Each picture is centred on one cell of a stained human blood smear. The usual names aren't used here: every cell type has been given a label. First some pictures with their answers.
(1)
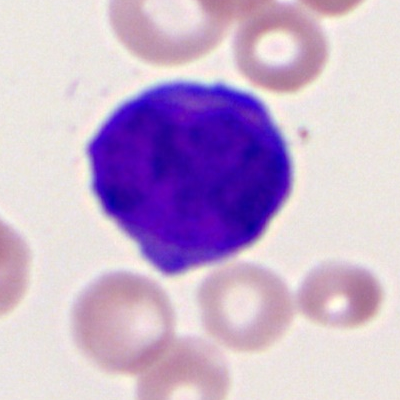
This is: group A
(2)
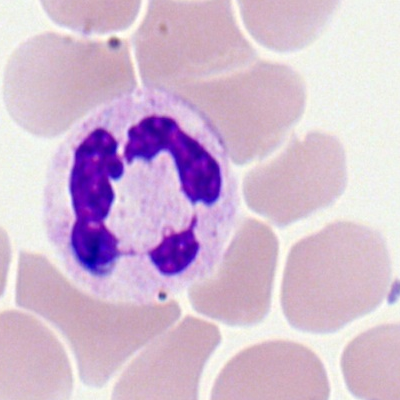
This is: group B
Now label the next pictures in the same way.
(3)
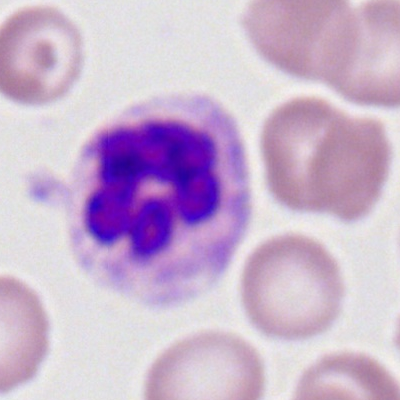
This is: group B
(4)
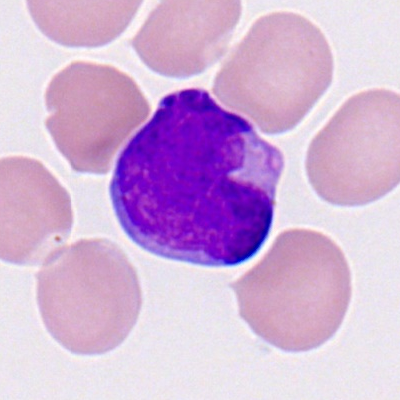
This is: group A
